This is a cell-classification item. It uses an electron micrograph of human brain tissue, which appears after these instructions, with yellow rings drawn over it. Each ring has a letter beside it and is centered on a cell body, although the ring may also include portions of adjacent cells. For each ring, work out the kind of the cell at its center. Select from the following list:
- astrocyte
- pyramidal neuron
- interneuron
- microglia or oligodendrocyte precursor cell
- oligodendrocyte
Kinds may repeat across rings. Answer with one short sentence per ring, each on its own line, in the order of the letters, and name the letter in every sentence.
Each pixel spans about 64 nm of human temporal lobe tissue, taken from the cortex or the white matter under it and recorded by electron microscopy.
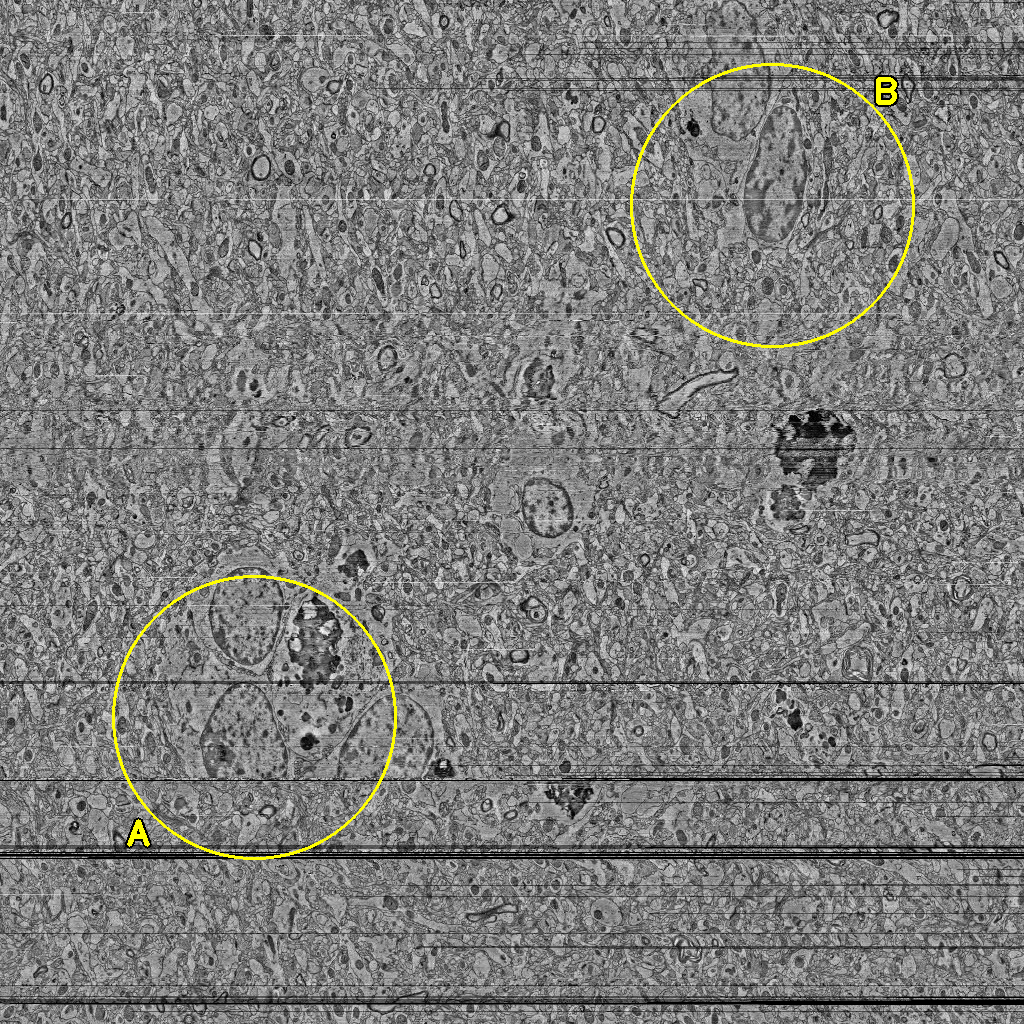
Ring A has an astrocyte at its center.
Ring B has a microglial cell or oligodendrocyte precursor cell at its center.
